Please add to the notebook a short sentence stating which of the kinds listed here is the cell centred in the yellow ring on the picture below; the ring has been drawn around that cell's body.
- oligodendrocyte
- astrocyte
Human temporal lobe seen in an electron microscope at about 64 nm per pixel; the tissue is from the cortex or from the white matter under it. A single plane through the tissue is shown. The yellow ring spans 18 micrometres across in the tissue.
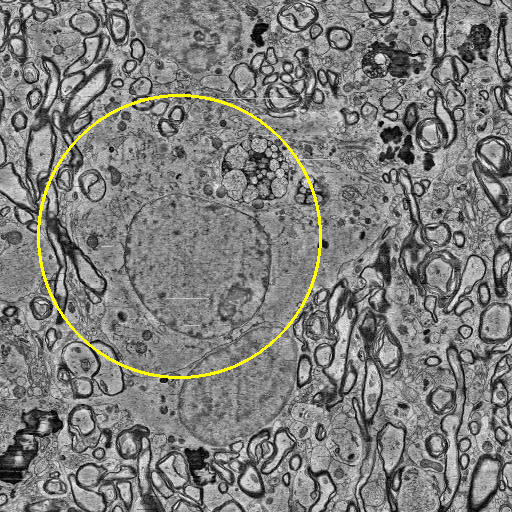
The cell centred in the yellow ring is an astrocyte.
